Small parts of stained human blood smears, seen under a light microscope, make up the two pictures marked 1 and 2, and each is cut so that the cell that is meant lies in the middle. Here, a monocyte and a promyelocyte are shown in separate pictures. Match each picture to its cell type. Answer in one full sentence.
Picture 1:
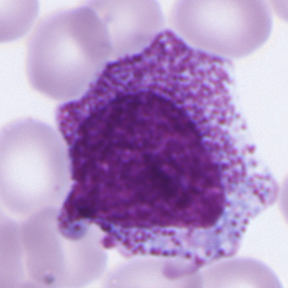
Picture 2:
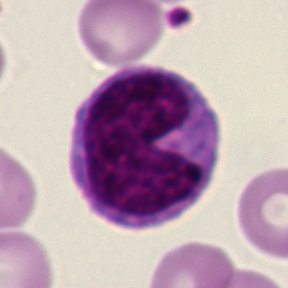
It is picture 1 that shows a promyelocyte, and picture 2 that shows a monocyte.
